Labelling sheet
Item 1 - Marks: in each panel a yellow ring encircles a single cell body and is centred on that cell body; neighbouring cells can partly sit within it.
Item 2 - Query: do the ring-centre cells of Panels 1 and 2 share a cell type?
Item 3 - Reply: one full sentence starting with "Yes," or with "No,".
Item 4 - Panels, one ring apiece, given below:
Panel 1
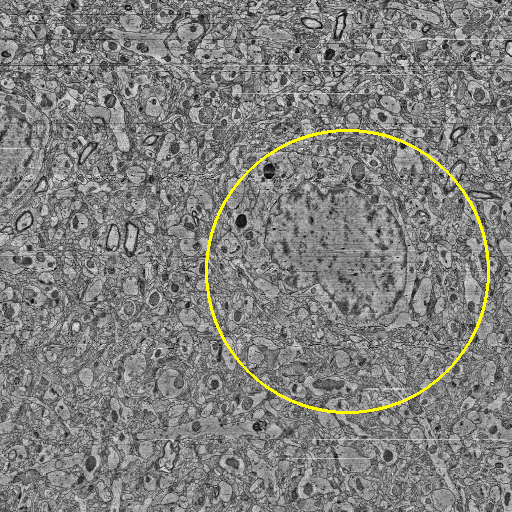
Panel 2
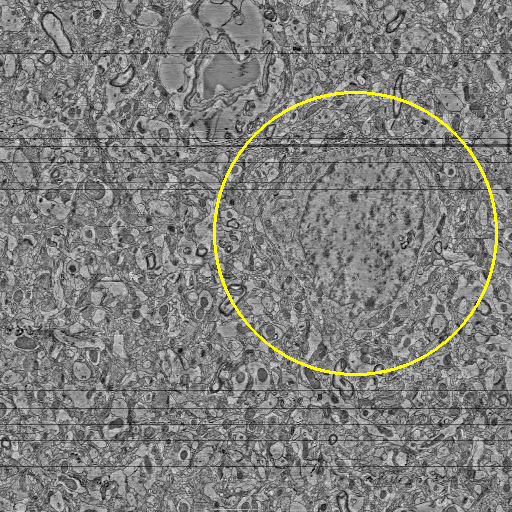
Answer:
Yes, Panel 1 and Panel 2 show one cell type at the centres of their rings.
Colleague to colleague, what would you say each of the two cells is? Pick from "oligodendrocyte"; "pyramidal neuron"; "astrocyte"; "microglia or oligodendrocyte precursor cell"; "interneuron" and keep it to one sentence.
Each of the two pictures has an interneuron at the ring centre.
